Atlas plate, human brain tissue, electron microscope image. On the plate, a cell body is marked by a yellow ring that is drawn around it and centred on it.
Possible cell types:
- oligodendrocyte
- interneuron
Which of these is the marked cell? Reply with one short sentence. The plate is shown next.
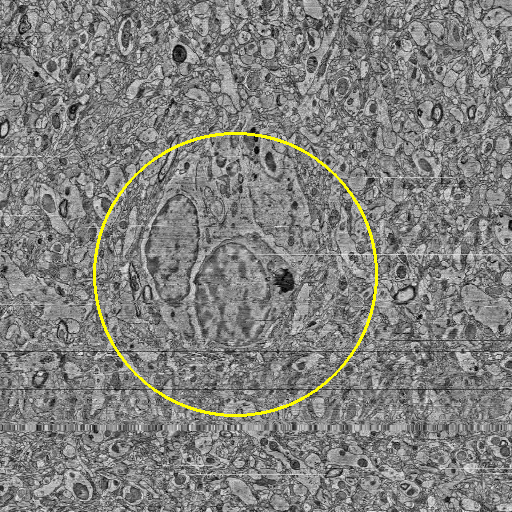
The marked cell is an oligodendrocyte.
